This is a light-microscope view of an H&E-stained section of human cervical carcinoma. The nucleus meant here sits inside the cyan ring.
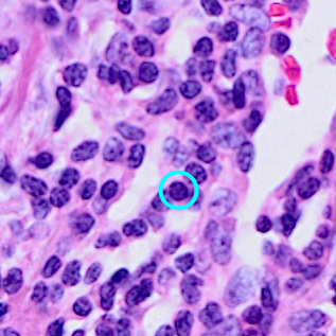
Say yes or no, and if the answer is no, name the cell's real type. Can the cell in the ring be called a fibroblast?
No, it is a lymphocyte.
